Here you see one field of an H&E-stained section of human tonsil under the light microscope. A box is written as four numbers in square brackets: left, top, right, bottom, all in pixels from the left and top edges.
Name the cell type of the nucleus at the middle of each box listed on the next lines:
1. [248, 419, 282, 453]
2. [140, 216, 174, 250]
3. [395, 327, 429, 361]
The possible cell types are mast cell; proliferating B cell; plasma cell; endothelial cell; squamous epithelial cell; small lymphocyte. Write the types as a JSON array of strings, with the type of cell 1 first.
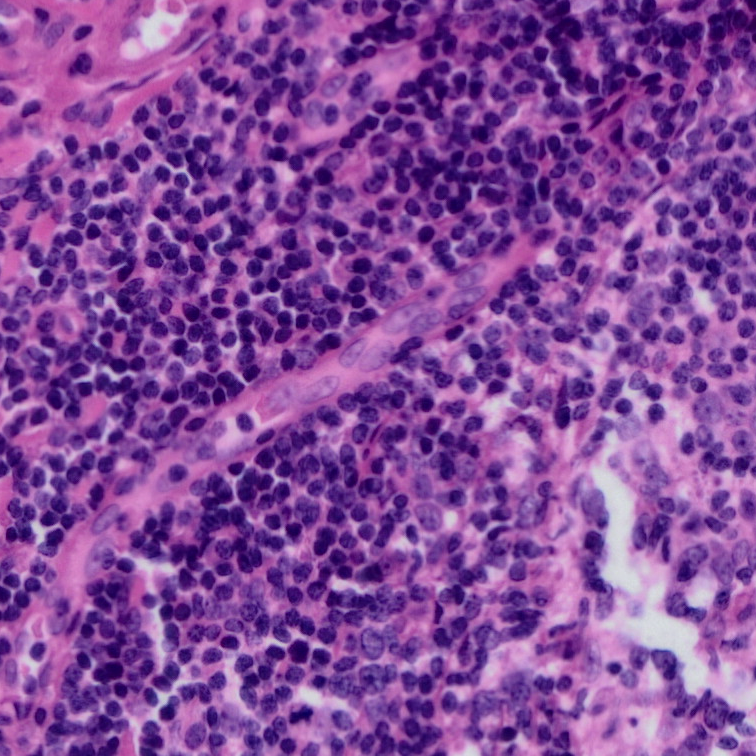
["endothelial cell", "small lymphocyte", "endothelial cell"]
